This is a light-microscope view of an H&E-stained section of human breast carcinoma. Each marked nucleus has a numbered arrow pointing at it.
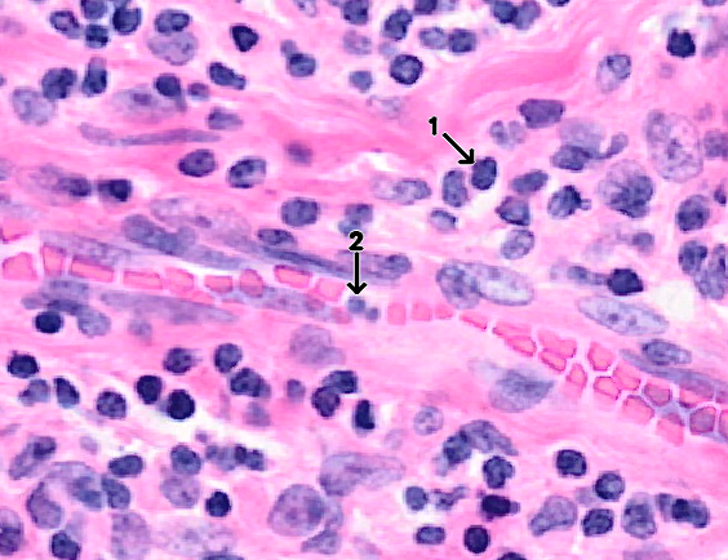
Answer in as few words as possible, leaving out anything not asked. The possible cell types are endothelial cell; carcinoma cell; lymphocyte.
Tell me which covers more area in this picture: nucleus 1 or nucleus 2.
1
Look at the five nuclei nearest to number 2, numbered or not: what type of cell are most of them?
endothelial cell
